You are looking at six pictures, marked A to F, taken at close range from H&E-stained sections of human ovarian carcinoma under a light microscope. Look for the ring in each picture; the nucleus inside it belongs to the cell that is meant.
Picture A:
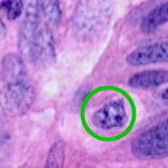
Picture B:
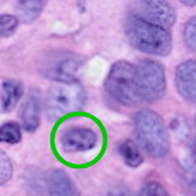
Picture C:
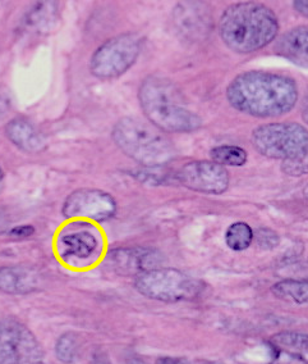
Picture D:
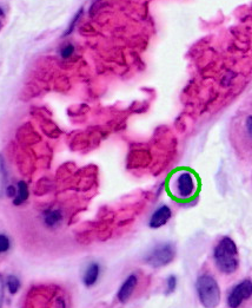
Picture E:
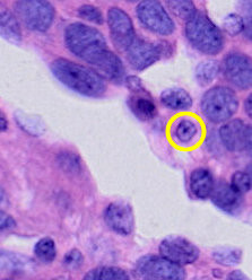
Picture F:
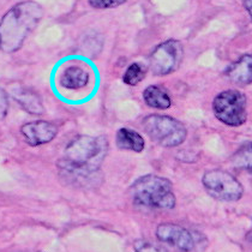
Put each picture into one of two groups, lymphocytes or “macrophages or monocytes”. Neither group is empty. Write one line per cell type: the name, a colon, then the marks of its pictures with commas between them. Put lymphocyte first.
lymphocyte: D, F
macrophage or monocyte: A, B, C, E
